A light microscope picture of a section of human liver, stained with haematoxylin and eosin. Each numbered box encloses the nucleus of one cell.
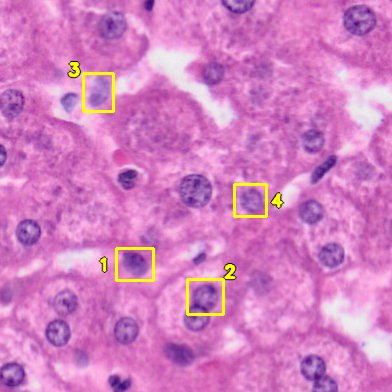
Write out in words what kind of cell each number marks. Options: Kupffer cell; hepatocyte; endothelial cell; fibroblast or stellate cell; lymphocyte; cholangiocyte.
Cells 1 and 3 are endothelial cells. Cells 2 and 4 are hepatocytes.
